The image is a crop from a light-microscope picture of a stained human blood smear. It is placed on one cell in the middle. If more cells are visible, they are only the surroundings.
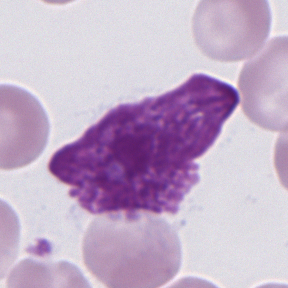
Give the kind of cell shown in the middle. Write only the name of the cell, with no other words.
smudge cell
